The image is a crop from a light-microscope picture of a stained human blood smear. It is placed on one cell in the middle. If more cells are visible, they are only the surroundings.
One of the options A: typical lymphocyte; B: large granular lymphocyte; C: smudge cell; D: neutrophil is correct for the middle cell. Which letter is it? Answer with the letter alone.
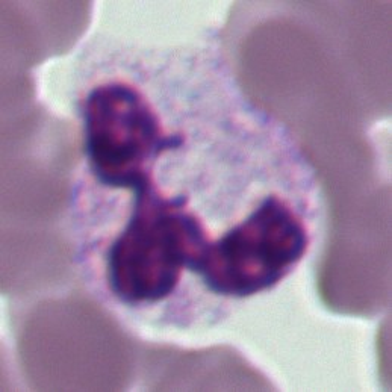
D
